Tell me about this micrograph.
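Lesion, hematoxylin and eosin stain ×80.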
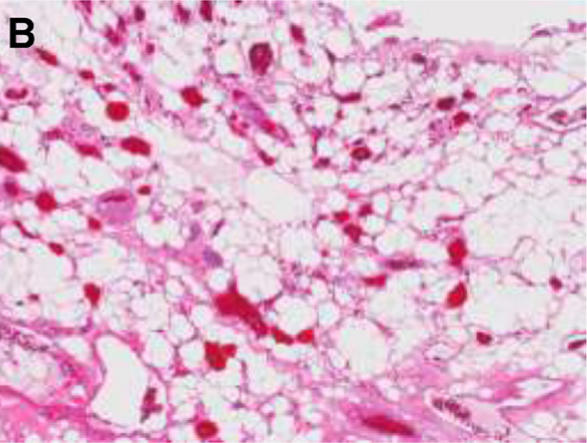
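This field is mostly mature fat cells. Small deep-red spots and narrow vessels with red contents are scattered between the fat cells.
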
